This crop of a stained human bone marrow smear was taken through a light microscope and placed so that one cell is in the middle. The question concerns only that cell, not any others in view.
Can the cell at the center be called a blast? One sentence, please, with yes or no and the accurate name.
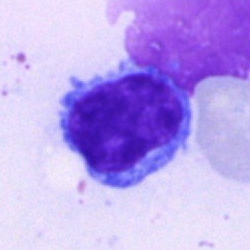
No, the one in the center is not a blast; it is a lymphocyte.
